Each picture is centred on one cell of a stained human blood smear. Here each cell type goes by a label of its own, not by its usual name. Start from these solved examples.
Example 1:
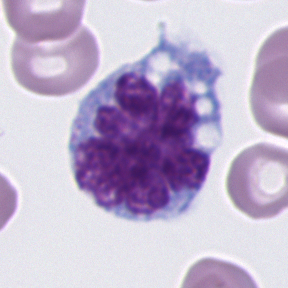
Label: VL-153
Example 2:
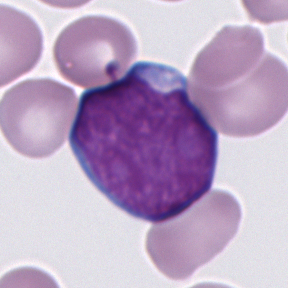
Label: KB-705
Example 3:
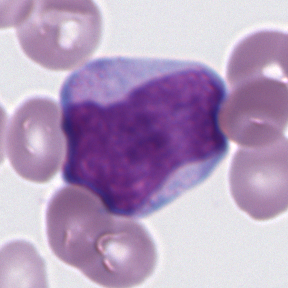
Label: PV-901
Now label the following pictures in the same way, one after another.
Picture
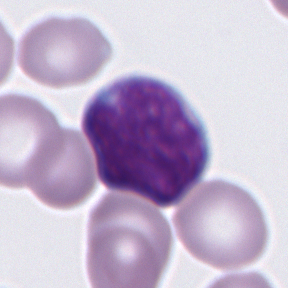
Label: KB-705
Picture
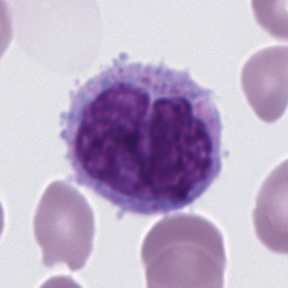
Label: VL-153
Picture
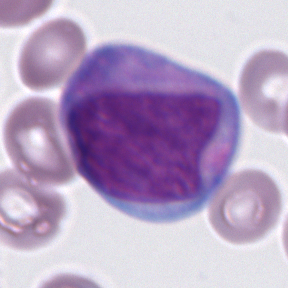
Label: PV-901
